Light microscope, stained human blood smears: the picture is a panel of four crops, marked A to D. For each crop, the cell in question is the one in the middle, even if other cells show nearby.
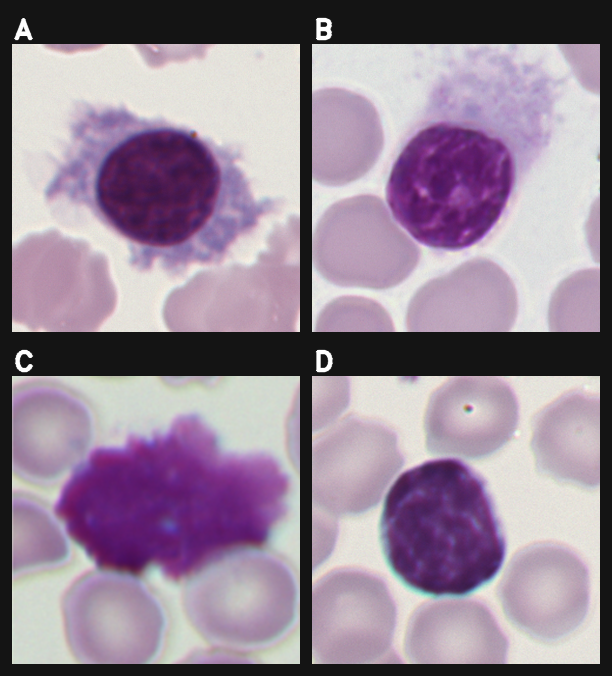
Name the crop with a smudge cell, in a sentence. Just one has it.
Of the labelled crops, the one that shows a smudge cell is crop C.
